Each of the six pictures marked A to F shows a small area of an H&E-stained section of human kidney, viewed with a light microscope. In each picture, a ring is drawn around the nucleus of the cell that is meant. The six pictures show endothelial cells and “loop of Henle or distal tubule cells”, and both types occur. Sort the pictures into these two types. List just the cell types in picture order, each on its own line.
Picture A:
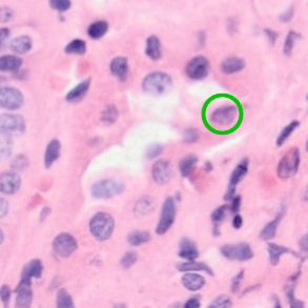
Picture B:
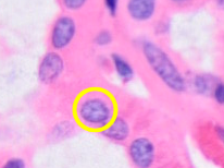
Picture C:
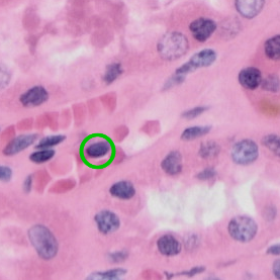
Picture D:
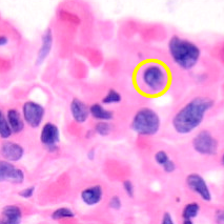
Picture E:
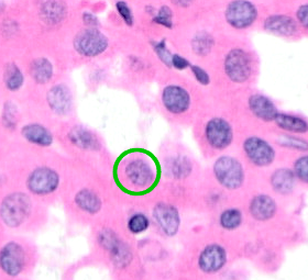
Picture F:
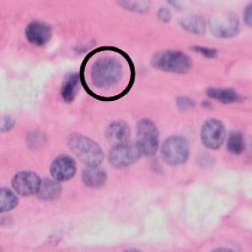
loop of Henle or distal tubule cell
loop of Henle or distal tubule cell
endothelial cell
endothelial cell
loop of Henle or distal tubule cell
loop of Henle or distal tubule cell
